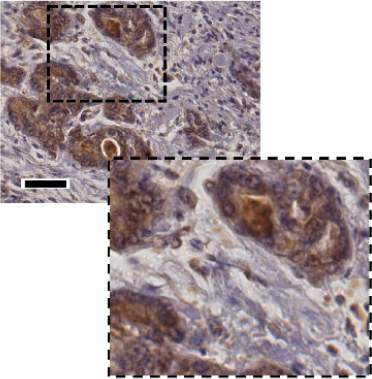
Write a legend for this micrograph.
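This is a tumor lesion in which clusters and irregular glands of epithelial tumor cells lie within a pale, fibrous stroma. The tumor cells have abundant cytoplasm that is stained strongly brown. The surrounding stroma has scattered elongated spindle-shaped nuclei and stays largely unstained. The enlarged inset shows the brown cytoplasm of the tumor cell groups more closely.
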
